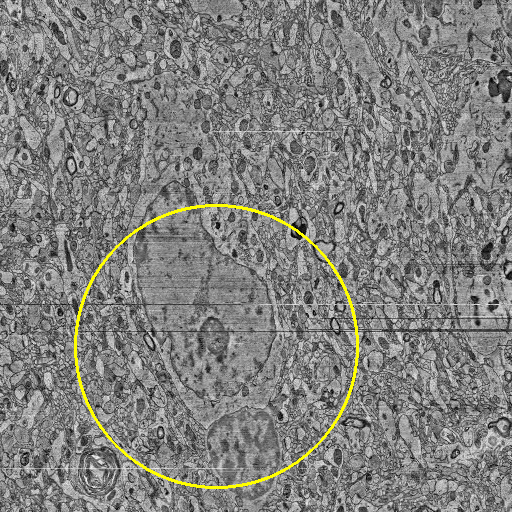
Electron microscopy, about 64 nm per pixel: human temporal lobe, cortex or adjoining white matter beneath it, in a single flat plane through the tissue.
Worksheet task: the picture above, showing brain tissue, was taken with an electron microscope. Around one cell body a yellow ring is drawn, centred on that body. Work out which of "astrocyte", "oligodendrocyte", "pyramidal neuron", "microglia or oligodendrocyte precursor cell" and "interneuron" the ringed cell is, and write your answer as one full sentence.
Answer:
It is an interneuron whose cell body lies at the centre of the yellow ring.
